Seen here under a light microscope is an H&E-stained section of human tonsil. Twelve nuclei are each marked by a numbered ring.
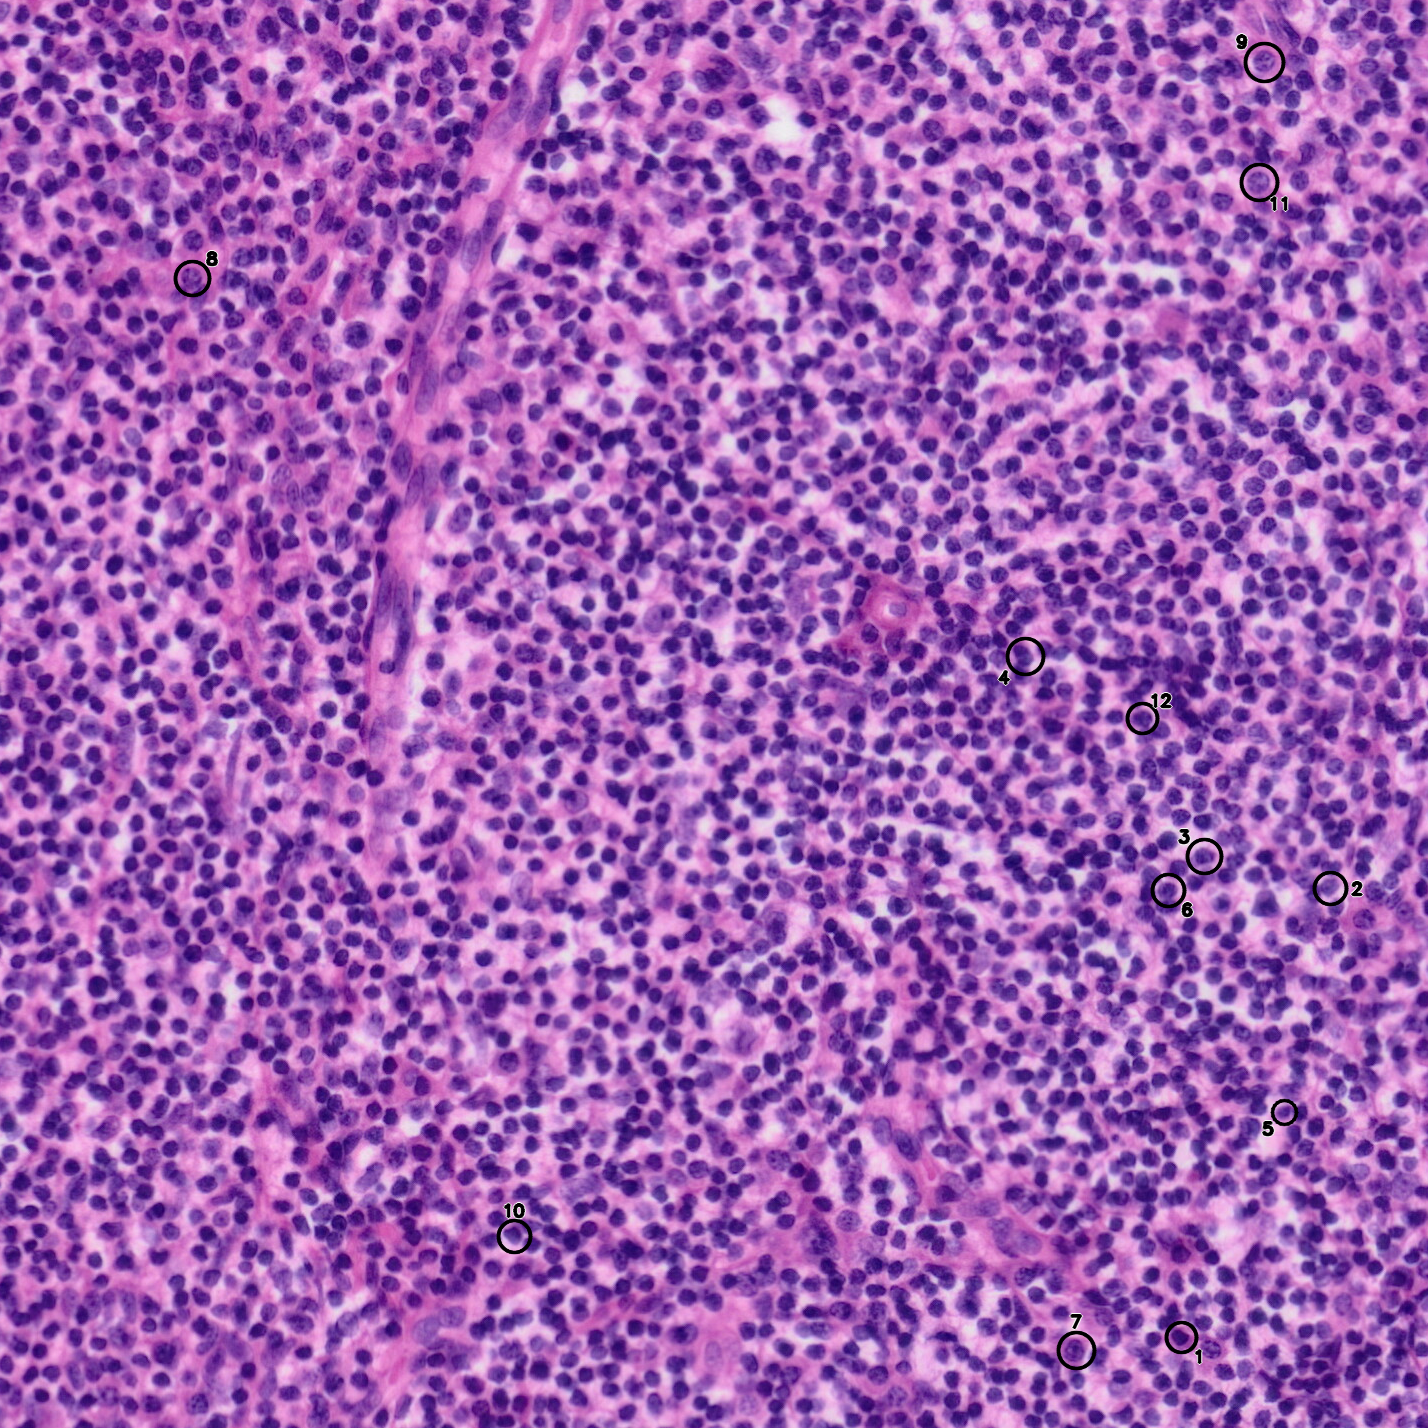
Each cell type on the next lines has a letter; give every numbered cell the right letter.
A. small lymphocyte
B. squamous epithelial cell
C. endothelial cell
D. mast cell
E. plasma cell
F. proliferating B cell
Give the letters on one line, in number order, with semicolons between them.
E; A; A; A; A; A; E; E; E; A; E; A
